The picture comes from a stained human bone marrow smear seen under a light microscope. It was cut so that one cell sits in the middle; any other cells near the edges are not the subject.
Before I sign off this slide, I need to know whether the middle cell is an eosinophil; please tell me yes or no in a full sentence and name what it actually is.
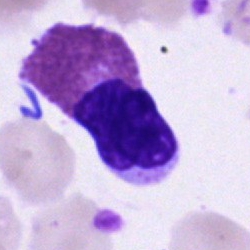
Yes, placed in the middle of the crop is an eosinophil.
